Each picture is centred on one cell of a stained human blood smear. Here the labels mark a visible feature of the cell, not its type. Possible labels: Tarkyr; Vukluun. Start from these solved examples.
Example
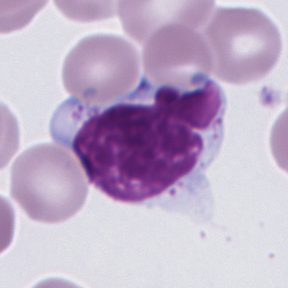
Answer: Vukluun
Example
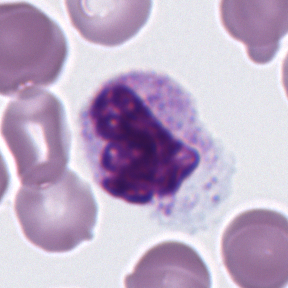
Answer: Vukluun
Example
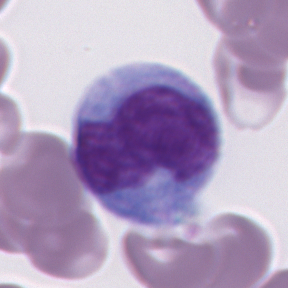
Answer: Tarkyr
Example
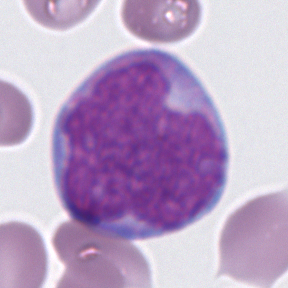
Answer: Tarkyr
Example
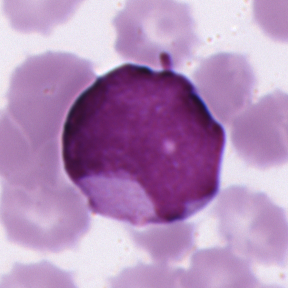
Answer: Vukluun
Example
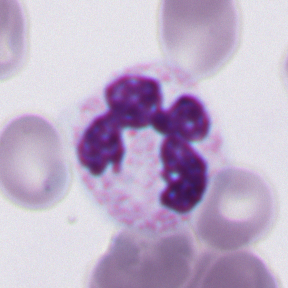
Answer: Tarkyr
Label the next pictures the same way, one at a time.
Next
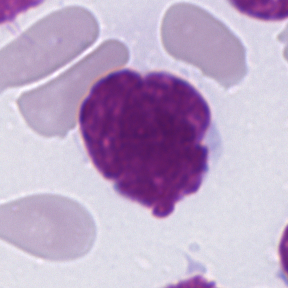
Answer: Vukluun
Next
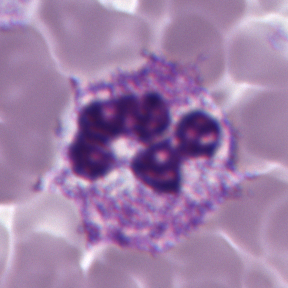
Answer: Vukluun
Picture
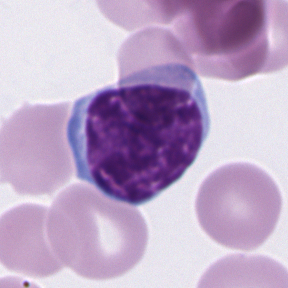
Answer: Tarkyr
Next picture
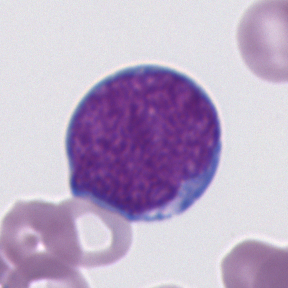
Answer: Tarkyr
